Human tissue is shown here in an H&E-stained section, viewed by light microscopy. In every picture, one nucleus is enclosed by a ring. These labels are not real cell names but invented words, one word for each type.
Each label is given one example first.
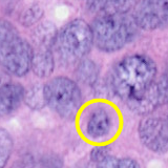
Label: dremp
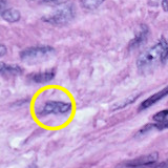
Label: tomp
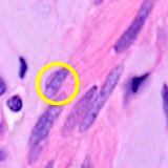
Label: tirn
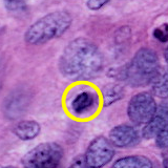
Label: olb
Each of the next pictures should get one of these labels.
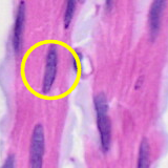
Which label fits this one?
tirn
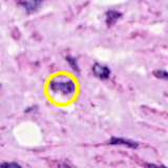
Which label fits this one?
tomp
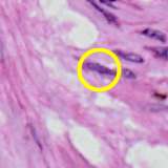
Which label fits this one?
tomp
